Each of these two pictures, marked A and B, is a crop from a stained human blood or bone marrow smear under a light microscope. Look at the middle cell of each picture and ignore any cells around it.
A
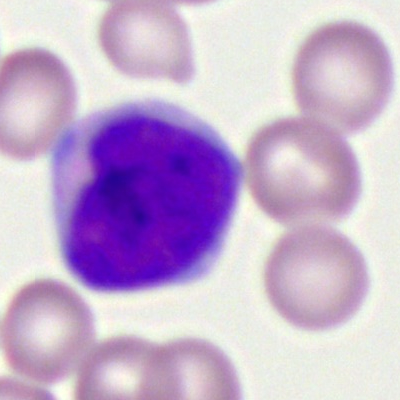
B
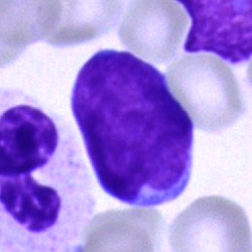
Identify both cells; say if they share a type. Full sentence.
Yes, the central cells, in both crops, are blasts.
